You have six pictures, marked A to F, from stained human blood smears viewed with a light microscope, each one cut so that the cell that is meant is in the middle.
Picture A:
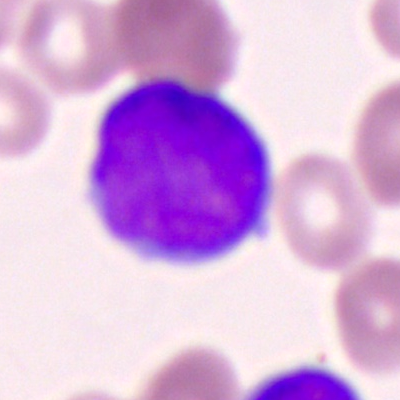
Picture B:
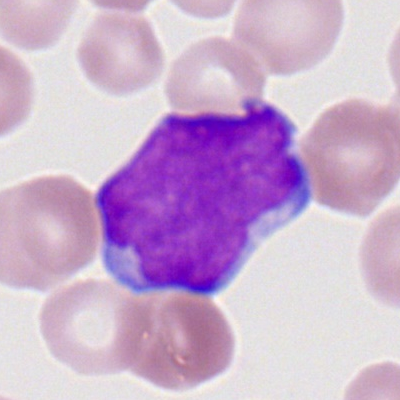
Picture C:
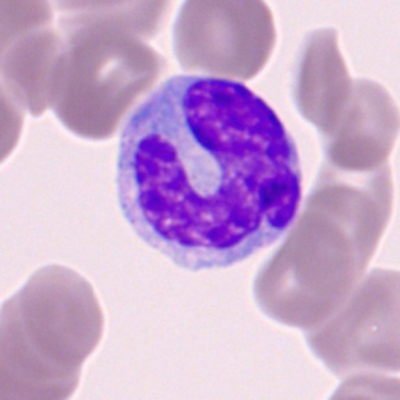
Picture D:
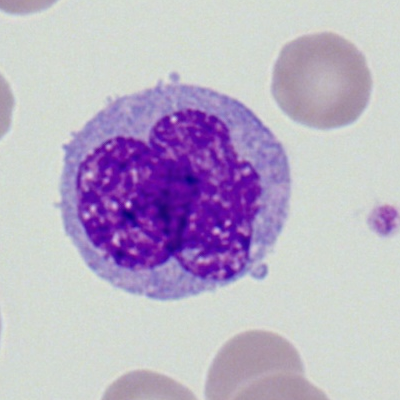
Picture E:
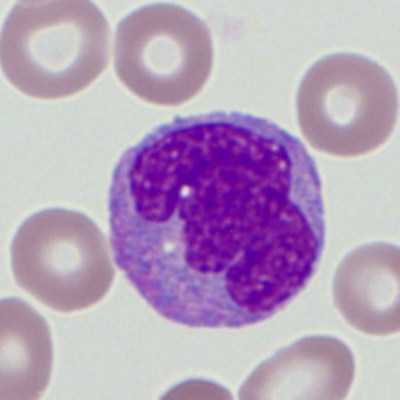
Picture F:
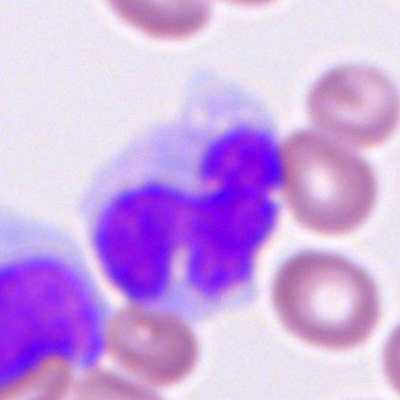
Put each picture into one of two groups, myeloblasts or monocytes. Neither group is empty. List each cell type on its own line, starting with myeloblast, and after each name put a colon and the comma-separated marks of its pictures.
myeloblast: A, B
monocyte: C, D, E, F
